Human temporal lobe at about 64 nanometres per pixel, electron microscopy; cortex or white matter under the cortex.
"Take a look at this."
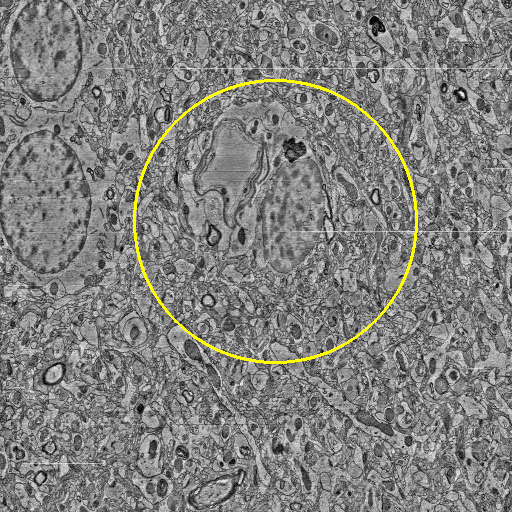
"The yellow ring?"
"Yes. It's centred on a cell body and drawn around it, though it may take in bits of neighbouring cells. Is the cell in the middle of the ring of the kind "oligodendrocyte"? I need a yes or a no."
Yes, it is of the kind asked about.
